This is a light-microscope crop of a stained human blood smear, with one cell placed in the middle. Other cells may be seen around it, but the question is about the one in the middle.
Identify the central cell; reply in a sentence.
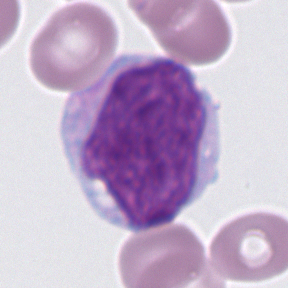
In the middle of this smear crop is an atypical promyelocyte.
